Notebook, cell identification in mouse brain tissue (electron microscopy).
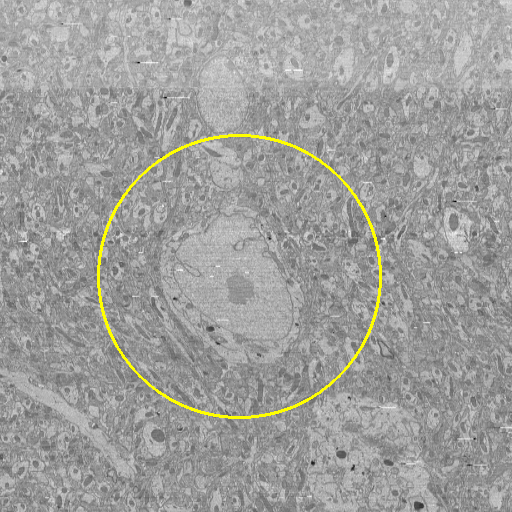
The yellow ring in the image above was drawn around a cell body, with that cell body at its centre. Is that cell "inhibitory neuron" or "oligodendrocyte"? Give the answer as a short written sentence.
The cell in the ring is an inhibitory neuron.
